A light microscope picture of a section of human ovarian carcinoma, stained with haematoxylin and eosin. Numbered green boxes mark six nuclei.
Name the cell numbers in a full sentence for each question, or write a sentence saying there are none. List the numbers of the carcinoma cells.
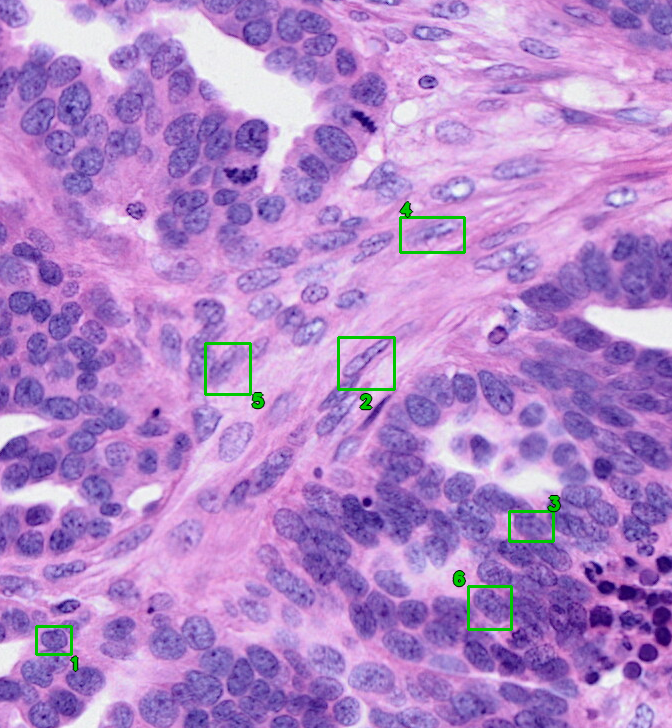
Cells 1, 3 and 6 are carcinoma cells by cell type.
